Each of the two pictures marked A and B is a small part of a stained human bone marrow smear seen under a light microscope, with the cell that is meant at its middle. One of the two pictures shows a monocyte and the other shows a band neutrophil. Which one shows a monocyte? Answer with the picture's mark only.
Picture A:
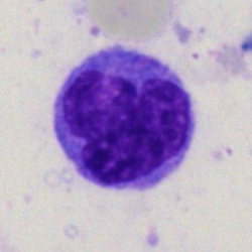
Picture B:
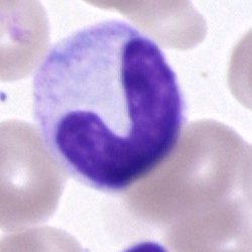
A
